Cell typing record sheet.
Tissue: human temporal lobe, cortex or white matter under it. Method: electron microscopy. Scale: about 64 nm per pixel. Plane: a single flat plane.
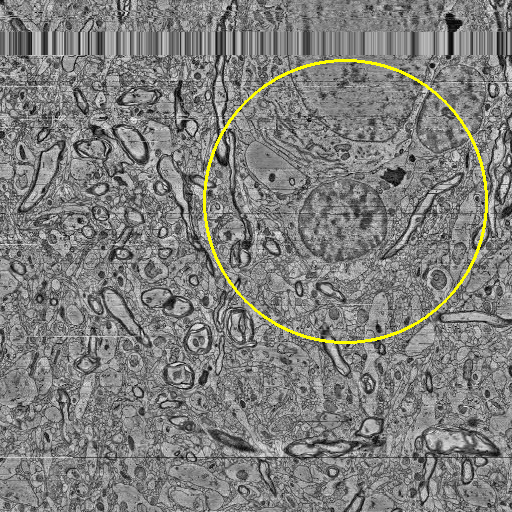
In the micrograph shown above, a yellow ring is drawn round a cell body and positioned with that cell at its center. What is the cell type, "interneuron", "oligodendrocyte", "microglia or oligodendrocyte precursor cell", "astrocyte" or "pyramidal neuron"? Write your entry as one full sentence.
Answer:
The cell body at the center of the ring belongs to an oligodendrocyte.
